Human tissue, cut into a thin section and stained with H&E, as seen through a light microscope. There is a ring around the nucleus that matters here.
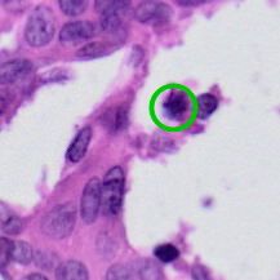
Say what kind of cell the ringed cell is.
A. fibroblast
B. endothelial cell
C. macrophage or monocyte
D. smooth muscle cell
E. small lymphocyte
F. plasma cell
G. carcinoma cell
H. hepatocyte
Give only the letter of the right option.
C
